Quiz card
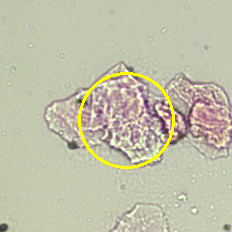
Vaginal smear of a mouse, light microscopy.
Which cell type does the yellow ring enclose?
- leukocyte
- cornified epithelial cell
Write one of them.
cornified epithelial cell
